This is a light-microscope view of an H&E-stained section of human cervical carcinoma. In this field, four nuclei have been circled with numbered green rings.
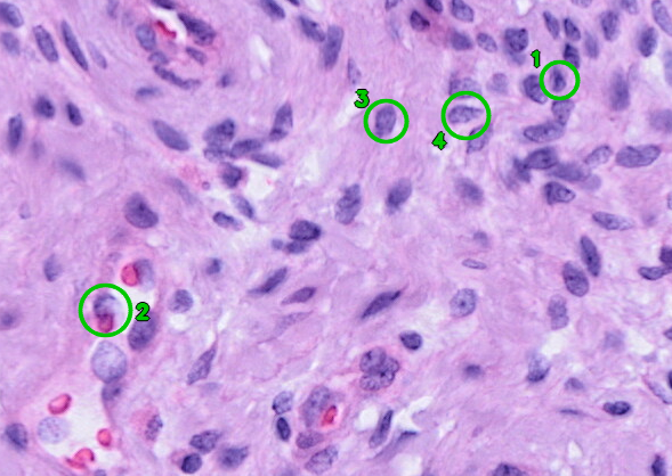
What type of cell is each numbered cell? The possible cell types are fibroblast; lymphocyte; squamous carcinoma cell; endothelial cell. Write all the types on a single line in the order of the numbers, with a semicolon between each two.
fibroblast; endothelial cell; fibroblast; fibroblast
